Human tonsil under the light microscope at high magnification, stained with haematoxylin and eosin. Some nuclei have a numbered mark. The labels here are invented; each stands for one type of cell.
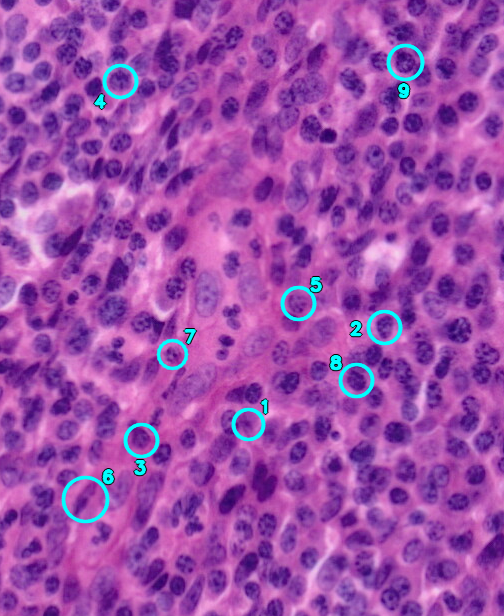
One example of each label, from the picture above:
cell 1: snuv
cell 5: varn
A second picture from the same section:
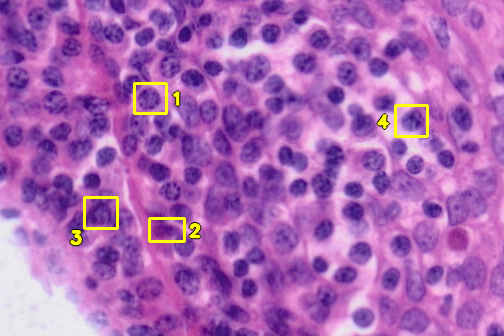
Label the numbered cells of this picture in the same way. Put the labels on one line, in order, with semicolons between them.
varn; snuv; varn; varn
